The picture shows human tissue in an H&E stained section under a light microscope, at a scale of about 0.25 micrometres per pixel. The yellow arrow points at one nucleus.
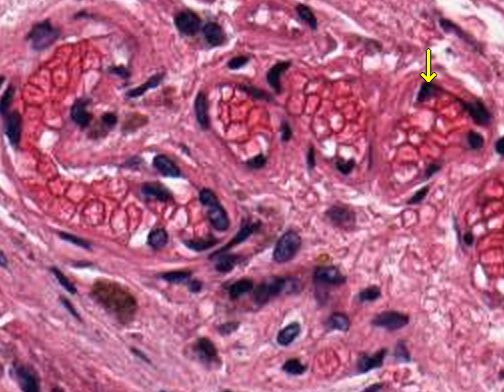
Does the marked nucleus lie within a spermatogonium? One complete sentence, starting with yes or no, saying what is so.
No, the marked nucleus is not part of a spermatogonium and instead belongs to a supporting cell.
